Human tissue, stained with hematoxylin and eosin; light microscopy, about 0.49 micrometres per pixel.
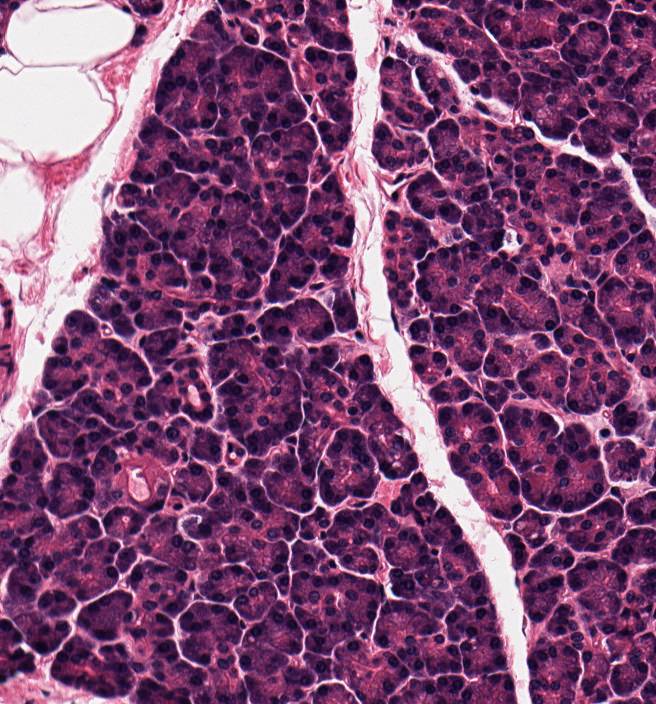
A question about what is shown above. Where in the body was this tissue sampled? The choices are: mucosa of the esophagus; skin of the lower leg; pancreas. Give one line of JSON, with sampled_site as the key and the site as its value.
{"sampled_site": "pancreas"}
